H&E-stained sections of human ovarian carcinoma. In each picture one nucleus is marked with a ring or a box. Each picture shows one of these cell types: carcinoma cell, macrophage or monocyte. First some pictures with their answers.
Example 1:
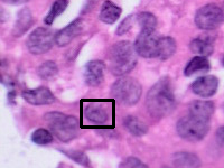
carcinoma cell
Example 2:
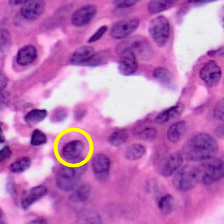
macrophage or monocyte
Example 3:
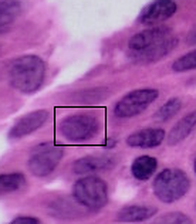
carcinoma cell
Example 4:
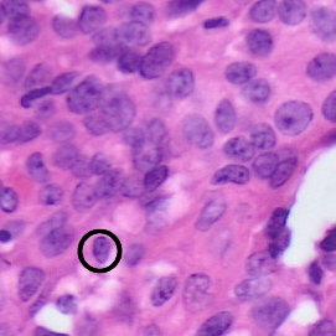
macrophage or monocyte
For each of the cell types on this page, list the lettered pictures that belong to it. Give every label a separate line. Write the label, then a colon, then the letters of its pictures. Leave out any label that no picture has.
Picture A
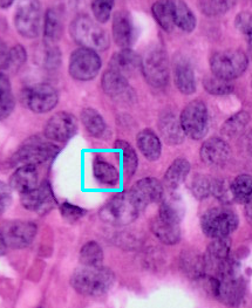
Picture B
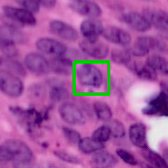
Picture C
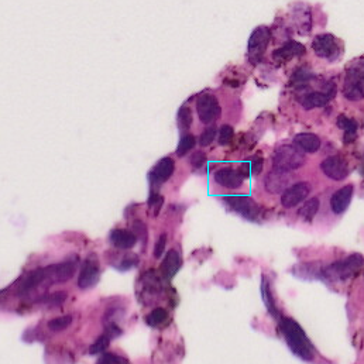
carcinoma cell: C
macrophage or monocyte: A, B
